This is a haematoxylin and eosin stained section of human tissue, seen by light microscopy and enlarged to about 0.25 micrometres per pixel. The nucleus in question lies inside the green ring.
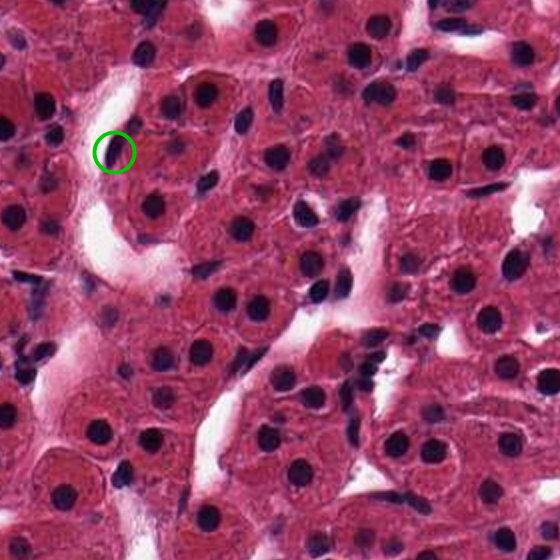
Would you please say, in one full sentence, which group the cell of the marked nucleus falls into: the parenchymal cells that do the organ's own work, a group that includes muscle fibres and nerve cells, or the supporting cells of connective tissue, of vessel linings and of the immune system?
The marked nucleus is the nucleus of a supporting cell in this section.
